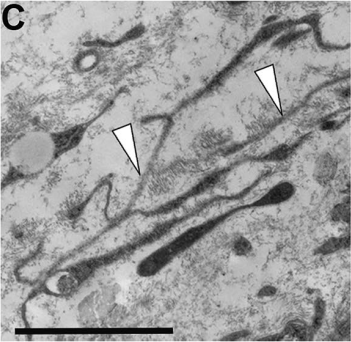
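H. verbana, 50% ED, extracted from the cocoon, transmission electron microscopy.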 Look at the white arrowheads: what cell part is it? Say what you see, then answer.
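Very long, thin, ribbon-like cell extensions cross the field. The extensions run side by side and touch one another. One extension tapers from a small dark cell body.
Answer: telopodes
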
